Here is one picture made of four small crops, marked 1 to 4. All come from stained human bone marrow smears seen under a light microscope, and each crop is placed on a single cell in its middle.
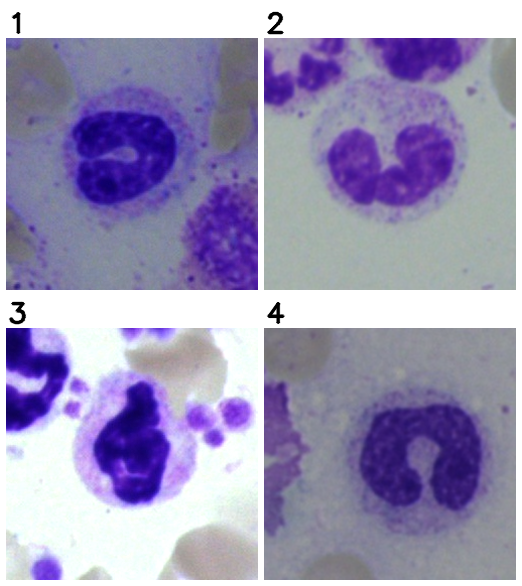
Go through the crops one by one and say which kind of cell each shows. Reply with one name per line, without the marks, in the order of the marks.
band neutrophil
segmented neutrophil
segmented neutrophil
band neutrophil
